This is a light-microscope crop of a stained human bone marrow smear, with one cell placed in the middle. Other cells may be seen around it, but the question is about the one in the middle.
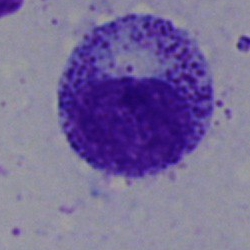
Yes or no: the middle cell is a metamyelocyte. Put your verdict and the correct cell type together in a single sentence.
No, instead of being a metamyelocyte, the middle cell is a myelocyte.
